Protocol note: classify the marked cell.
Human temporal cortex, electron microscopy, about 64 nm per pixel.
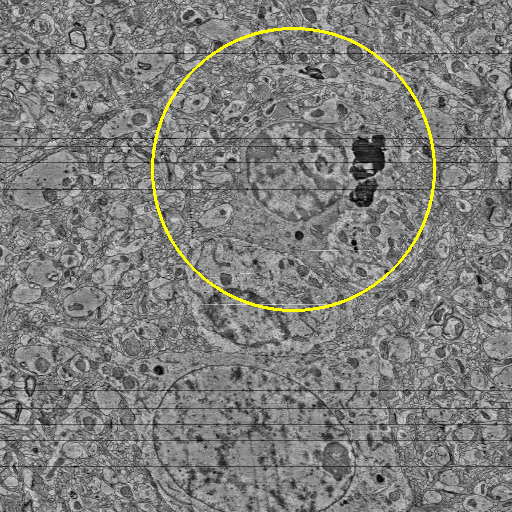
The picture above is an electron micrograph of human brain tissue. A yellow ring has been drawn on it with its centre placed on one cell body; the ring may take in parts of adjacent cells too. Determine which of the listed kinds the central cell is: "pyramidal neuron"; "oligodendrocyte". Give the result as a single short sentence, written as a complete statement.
The central cell is an oligodendrocyte.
